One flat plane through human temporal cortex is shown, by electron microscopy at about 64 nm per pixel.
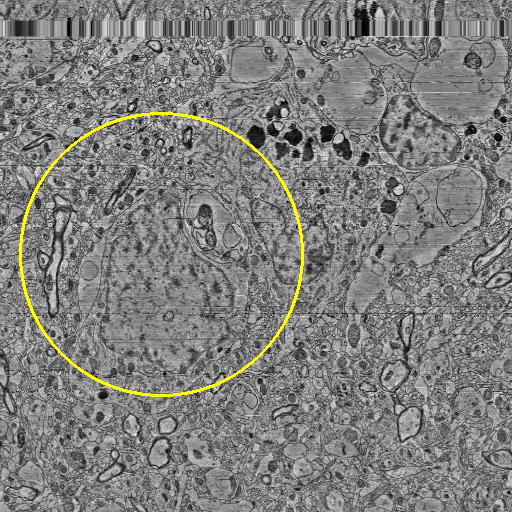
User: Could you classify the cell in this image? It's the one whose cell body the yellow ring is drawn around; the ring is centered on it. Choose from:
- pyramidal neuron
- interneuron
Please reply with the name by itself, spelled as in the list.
interneuron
